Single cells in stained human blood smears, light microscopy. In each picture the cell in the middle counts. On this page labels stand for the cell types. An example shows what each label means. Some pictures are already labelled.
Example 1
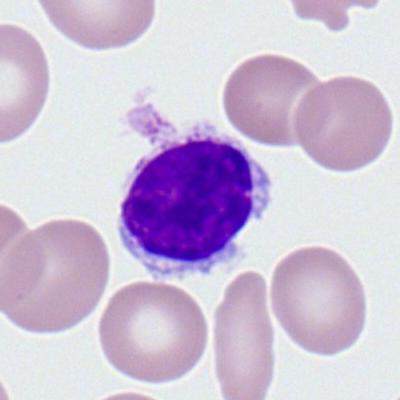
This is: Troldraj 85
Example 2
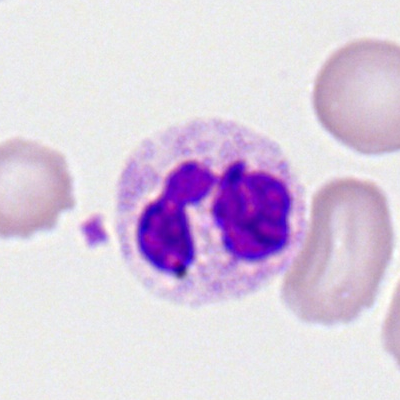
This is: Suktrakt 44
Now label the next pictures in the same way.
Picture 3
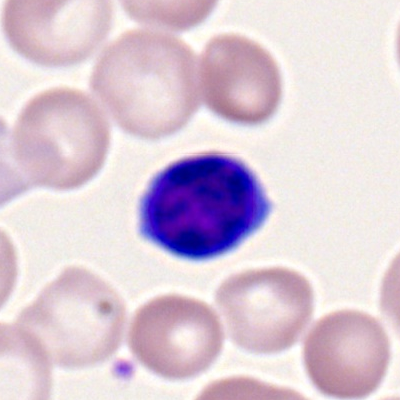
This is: Troldraj 85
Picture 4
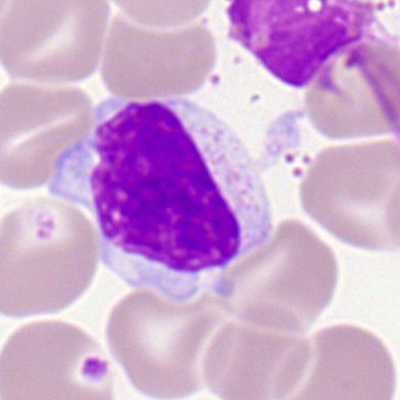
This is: Troldraj 85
